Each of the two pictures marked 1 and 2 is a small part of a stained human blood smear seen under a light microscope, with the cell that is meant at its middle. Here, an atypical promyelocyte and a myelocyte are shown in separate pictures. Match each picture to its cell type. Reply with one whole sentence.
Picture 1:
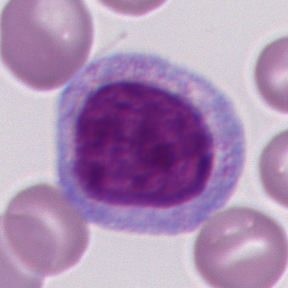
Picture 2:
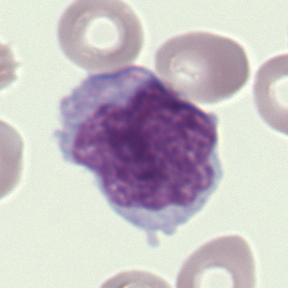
Picture 1 is of a myelocyte, and picture 2 is of an atypical promyelocyte.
